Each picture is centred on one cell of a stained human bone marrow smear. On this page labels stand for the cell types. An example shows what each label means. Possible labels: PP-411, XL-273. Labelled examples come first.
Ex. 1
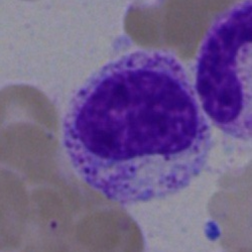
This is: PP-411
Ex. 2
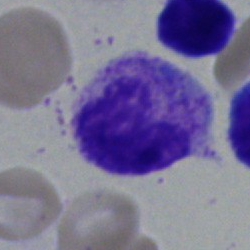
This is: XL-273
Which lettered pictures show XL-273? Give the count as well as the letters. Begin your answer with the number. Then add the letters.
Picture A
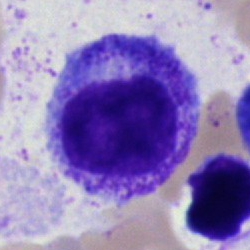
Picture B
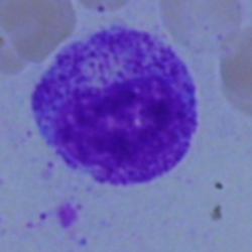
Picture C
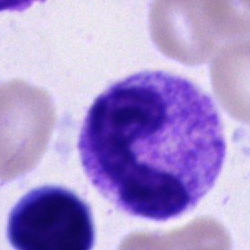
1, namely C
